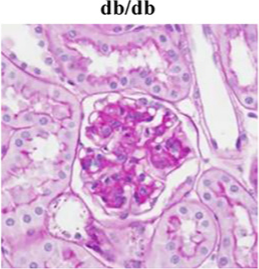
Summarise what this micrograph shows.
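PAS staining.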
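This is kidney cortex, with a glomerulus at the centre surrounded by tubules. The glomerular tuft is large and fills most of its capsule, leaving only a narrow clear rim of urinary space. Within the tuft, deep magenta material is abundant and lies in broad bands between the capillary loops, so the tuft looks dense and crowded, with small purple-blue nuclei scattered among it. The thin capsule outlines the glomerulus. Around it are tubules lined by cuboidal epithelial cells with round bluish nuclei and pale pink cytoplasm, some with a magenta-edged lumen.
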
